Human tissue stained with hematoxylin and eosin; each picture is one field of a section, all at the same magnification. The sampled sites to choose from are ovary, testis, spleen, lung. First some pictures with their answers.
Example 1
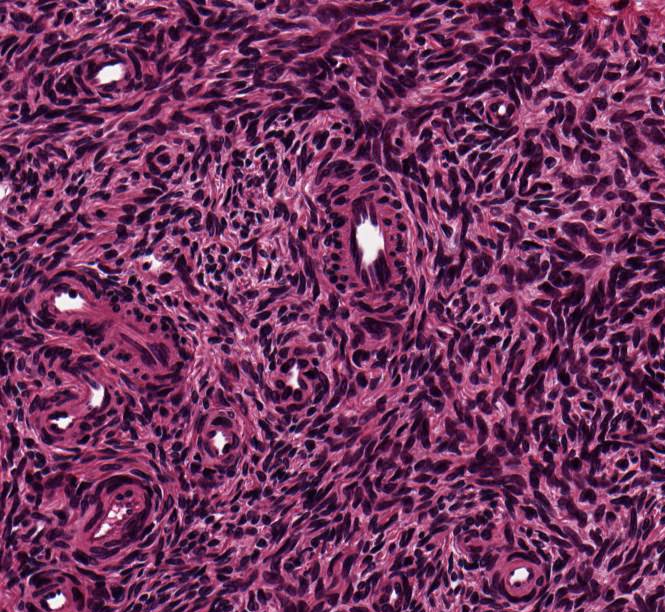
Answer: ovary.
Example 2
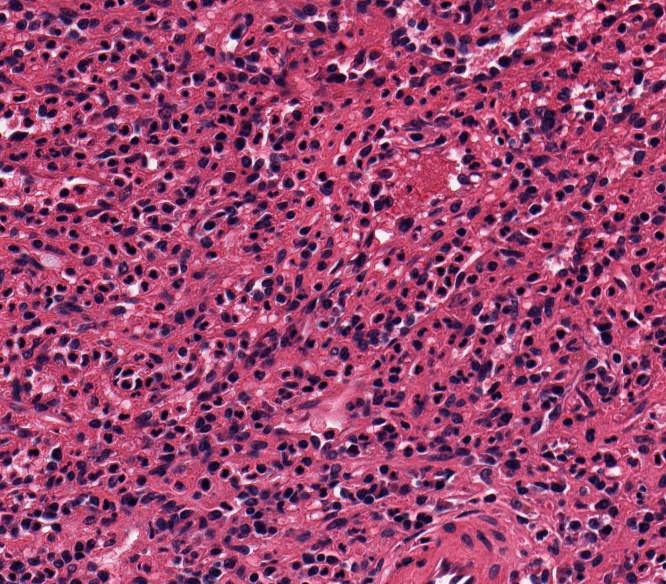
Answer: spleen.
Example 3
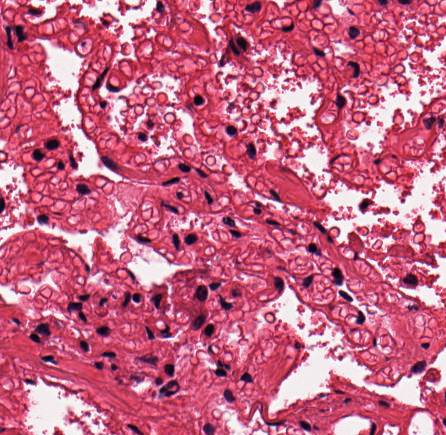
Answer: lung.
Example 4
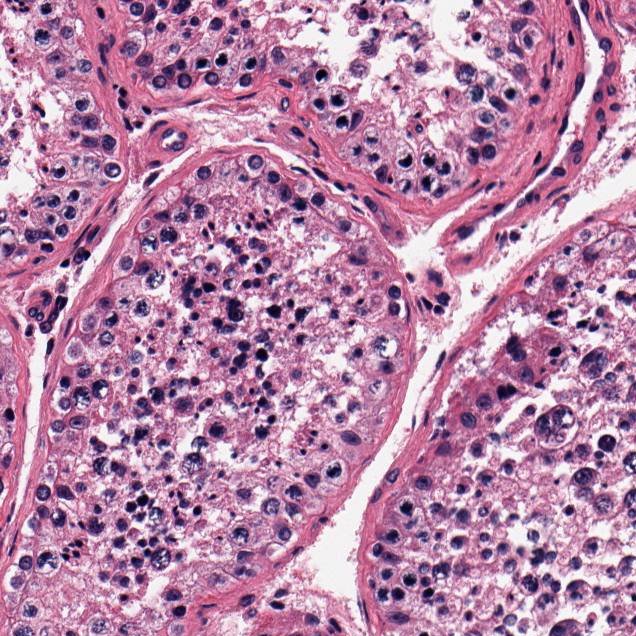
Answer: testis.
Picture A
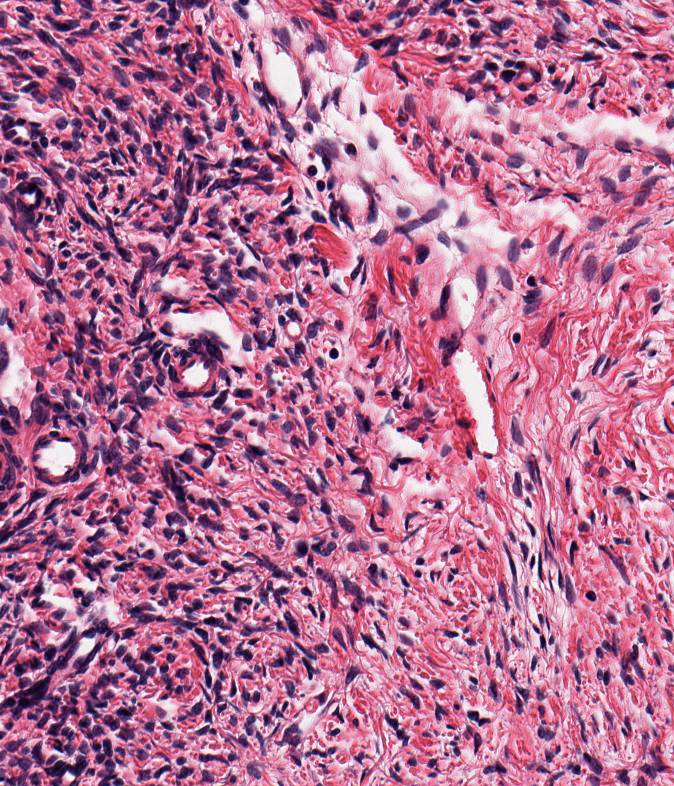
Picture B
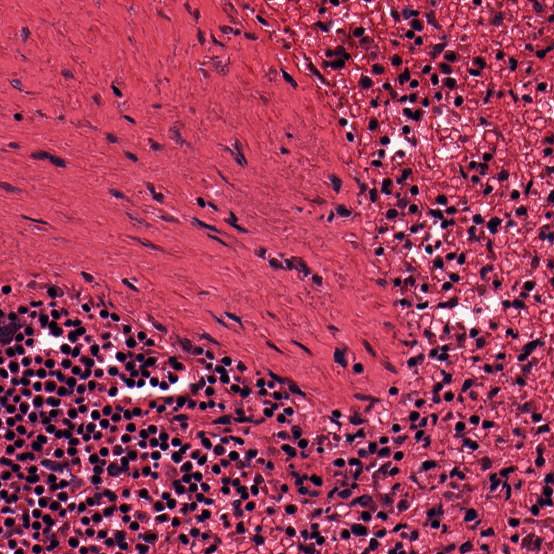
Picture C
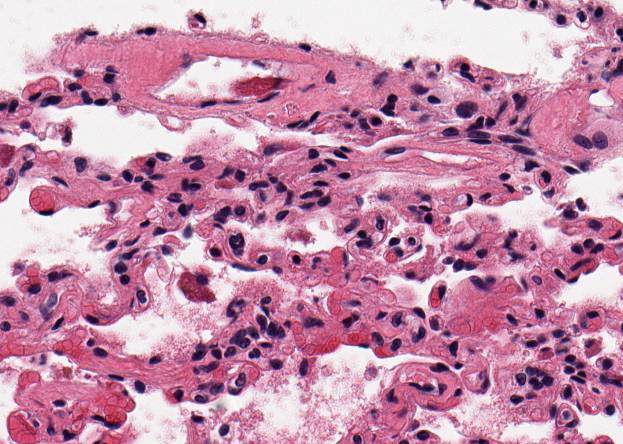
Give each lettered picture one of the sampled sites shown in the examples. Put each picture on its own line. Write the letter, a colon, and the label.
A: ovary.
B: spleen.
C: lung.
